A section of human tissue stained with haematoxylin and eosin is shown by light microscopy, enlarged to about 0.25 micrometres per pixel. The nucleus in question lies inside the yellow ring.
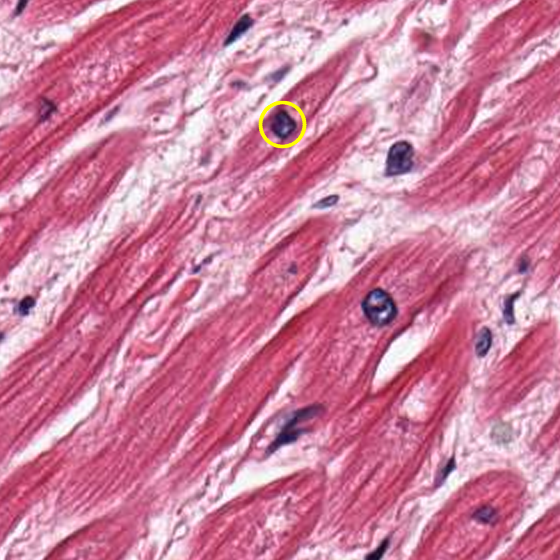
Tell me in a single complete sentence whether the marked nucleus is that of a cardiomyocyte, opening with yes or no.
Yes, the marked nucleus is that of a cardiomyocyte in this section.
